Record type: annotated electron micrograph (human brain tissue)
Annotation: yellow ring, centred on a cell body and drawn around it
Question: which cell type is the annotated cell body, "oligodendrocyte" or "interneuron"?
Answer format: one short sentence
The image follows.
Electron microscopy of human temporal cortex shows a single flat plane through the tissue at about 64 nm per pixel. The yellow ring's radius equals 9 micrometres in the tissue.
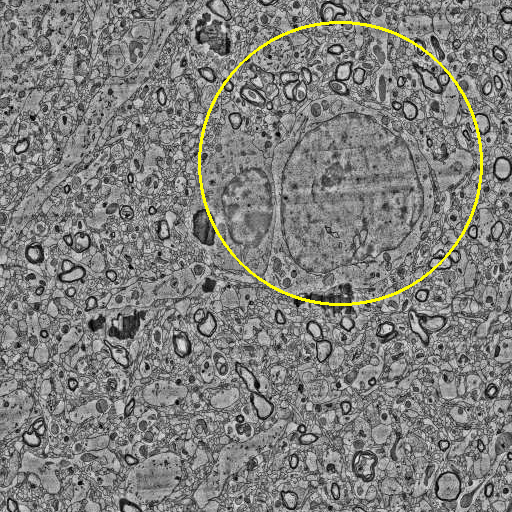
The annotated cell body is that of an interneuron.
